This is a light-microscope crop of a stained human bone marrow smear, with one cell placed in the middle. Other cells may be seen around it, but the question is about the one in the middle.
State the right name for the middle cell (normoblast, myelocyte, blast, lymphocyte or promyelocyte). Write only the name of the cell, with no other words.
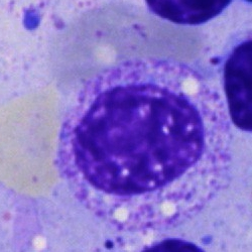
myelocyte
